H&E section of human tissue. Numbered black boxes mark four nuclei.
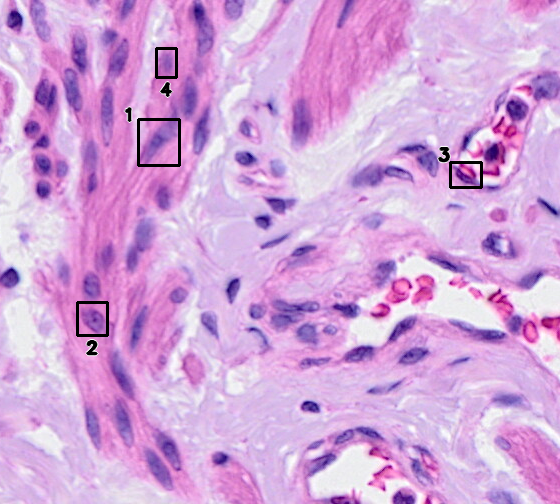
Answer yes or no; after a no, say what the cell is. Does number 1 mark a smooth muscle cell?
Yes.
